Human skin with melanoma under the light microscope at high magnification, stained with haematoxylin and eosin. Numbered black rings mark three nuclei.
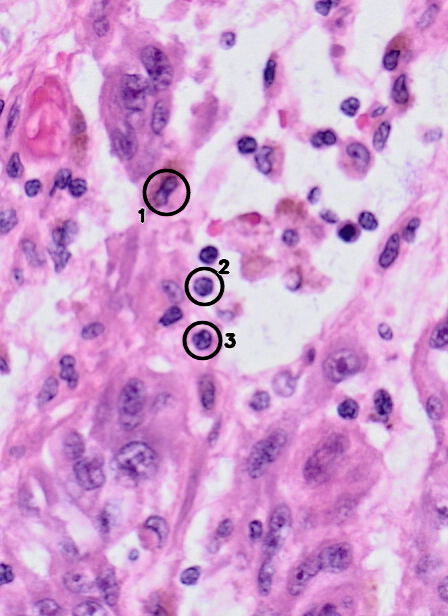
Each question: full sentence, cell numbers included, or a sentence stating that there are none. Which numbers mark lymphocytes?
The cells that the numbers 2 and 3 belong to are lymphocytes.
